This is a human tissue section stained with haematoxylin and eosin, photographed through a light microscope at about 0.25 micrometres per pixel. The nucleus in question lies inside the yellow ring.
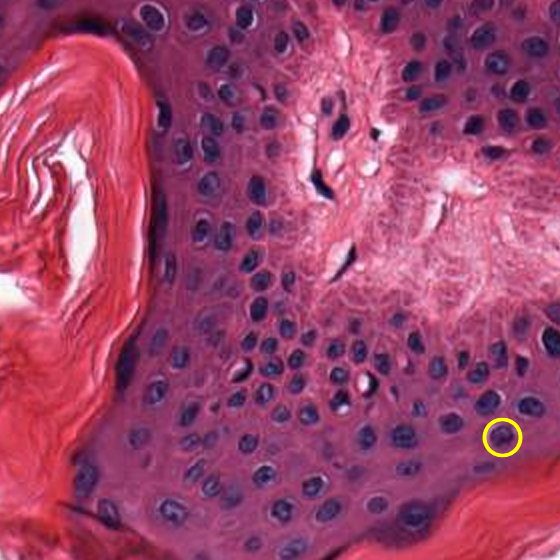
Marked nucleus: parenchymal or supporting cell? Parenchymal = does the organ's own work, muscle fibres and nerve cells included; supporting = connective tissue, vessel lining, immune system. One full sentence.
The owner of the marked nucleus is a parenchymal cell, namely a keratinocyte.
